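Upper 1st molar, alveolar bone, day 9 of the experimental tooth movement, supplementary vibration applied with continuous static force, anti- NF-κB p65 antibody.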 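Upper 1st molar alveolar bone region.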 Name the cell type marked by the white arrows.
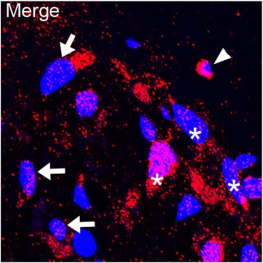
Osteoblasts.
